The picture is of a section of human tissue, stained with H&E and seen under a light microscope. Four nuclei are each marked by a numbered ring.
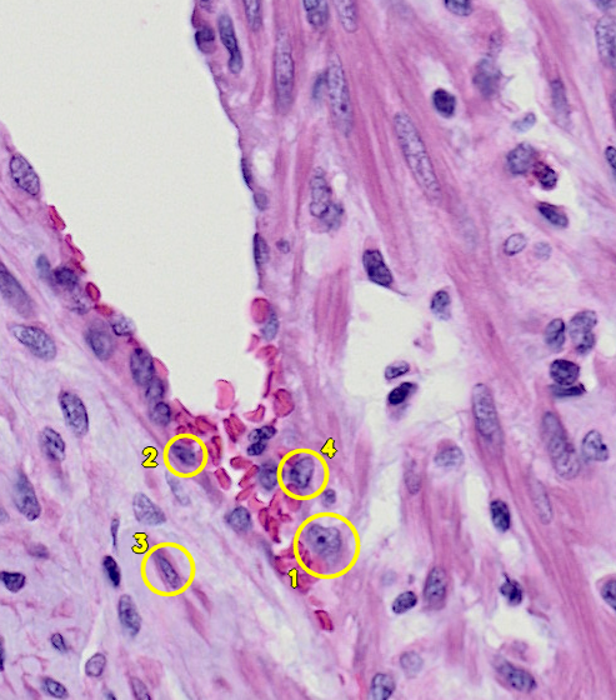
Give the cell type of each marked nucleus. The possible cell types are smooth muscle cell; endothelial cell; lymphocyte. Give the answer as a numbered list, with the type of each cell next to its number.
1. endothelial cell
2. endothelial cell
3. smooth muscle cell
4. endothelial cell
